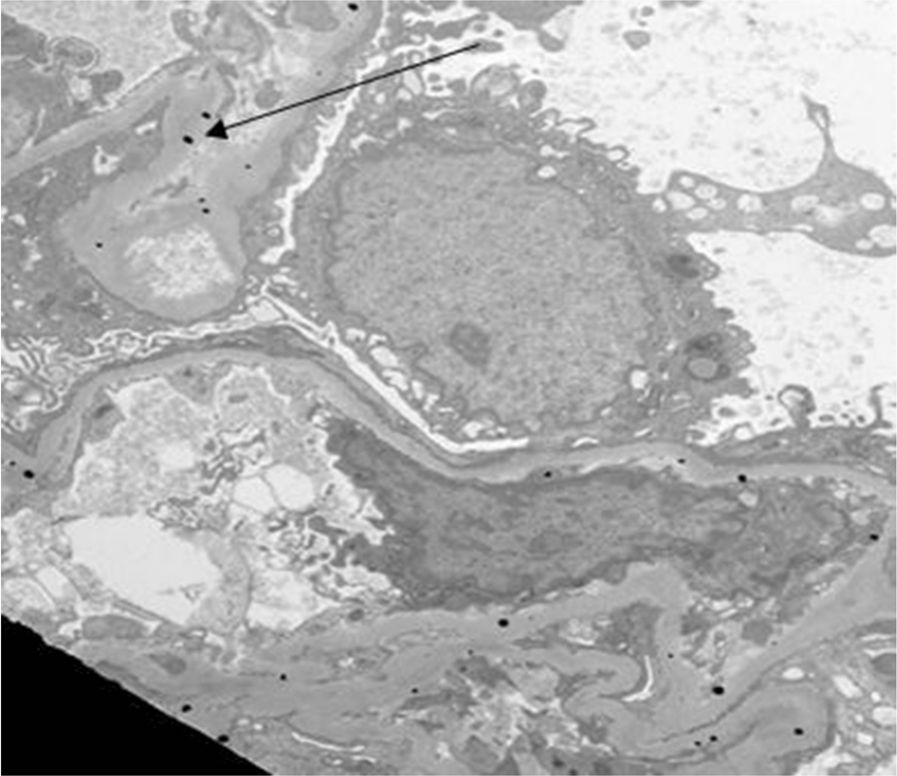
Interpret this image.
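Part of a glomerular capillary loop seen by transmission electron microscopy, with long curving bands of thick, homogeneous grey basement membrane running across the field. A large cell with an oval, finely granular nucleus and a distinct nucleolus sits in the centre, its border bearing many small projections and vesicles. At the upper left a broad area of grey amorphous matrix is enclosed by cell processes. Small, sharply defined black dots are scattered within the membranes and this matrix. A pale, nearly empty space occupies the upper right.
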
